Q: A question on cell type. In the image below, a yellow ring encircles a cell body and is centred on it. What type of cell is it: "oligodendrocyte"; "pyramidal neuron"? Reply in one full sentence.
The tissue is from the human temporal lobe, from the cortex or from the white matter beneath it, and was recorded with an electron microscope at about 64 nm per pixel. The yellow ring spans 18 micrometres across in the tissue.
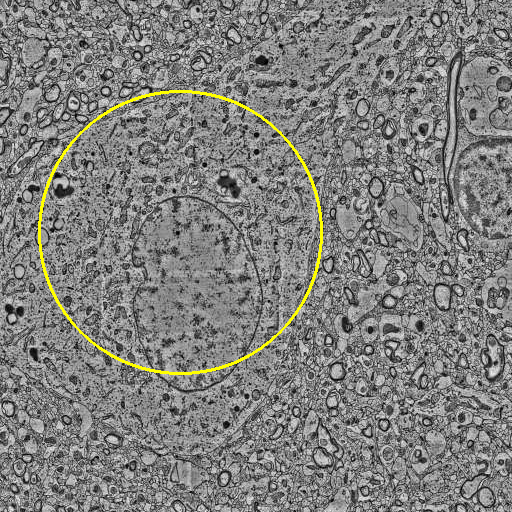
It is a pyramidal neuron whose cell body sits at the centre of the yellow ring in the image.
